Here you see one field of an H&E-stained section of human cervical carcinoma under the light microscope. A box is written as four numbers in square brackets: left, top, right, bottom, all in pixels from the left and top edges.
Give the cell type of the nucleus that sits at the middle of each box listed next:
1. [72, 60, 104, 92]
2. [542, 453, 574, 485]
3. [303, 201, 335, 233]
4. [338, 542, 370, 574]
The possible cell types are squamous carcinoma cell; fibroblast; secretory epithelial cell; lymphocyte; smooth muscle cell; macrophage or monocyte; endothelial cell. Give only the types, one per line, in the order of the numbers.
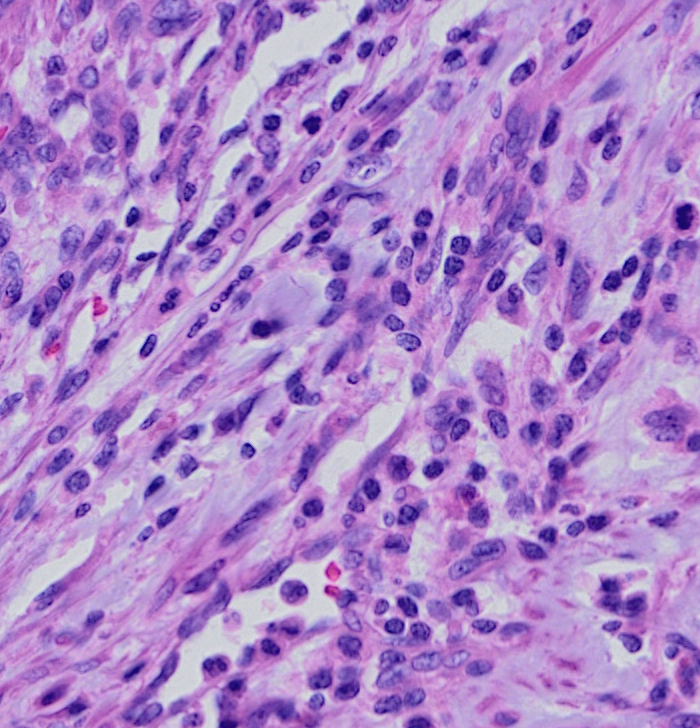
endothelial cell
lymphocyte
lymphocyte
endothelial cell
